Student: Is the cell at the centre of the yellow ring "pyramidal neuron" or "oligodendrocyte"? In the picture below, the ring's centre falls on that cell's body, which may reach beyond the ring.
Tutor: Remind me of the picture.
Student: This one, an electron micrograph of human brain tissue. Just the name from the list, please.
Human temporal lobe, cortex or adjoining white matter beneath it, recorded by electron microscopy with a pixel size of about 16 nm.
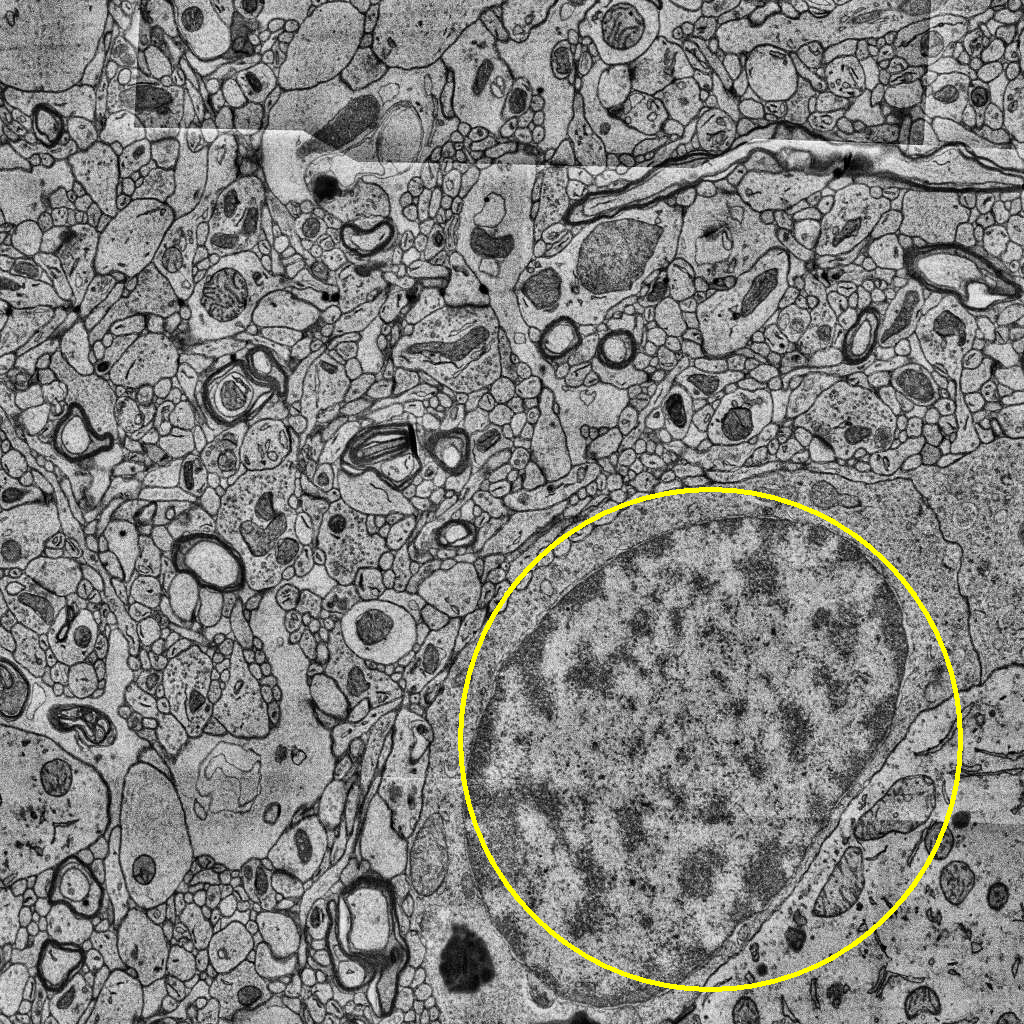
oligodendrocyte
